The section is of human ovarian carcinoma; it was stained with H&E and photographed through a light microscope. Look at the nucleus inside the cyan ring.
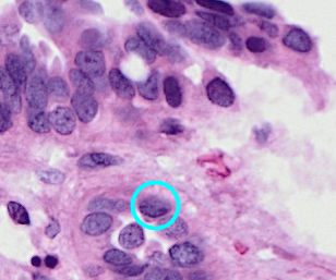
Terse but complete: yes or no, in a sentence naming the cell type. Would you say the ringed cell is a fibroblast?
No, on this slide the ringed cell is a carcinoma cell, not a fibroblast.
